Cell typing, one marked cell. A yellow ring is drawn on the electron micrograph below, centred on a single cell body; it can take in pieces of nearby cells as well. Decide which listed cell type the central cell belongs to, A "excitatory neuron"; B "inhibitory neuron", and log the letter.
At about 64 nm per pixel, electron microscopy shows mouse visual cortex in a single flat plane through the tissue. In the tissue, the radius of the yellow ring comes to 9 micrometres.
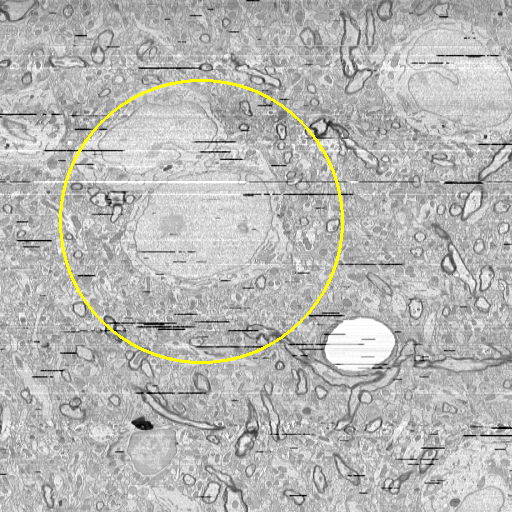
B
